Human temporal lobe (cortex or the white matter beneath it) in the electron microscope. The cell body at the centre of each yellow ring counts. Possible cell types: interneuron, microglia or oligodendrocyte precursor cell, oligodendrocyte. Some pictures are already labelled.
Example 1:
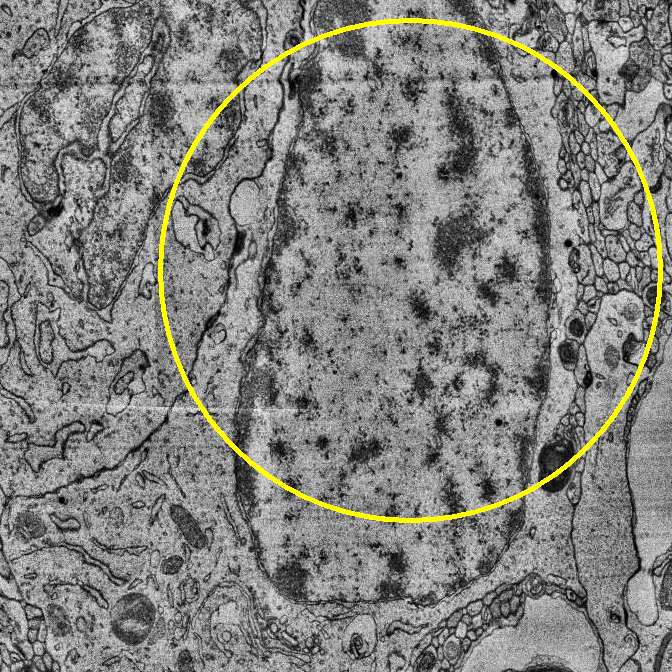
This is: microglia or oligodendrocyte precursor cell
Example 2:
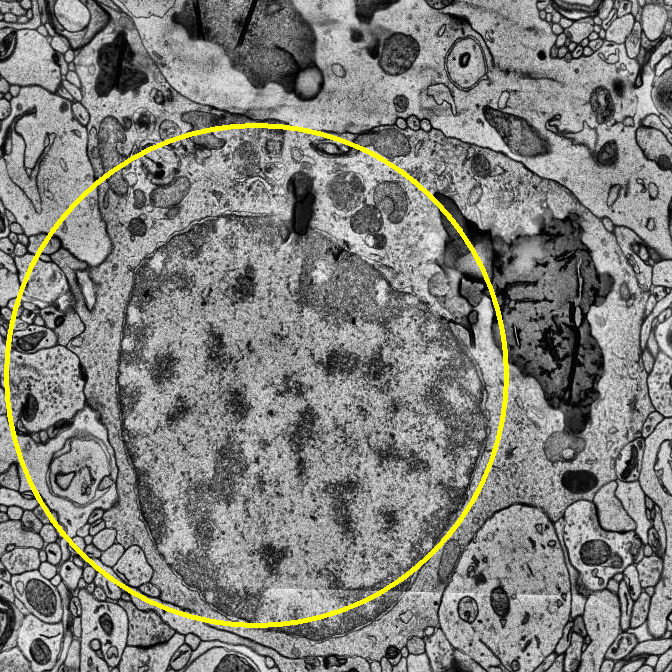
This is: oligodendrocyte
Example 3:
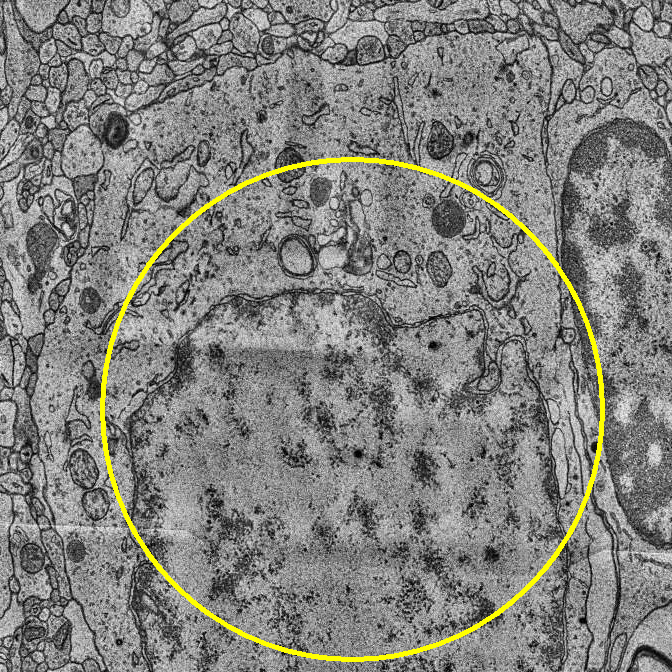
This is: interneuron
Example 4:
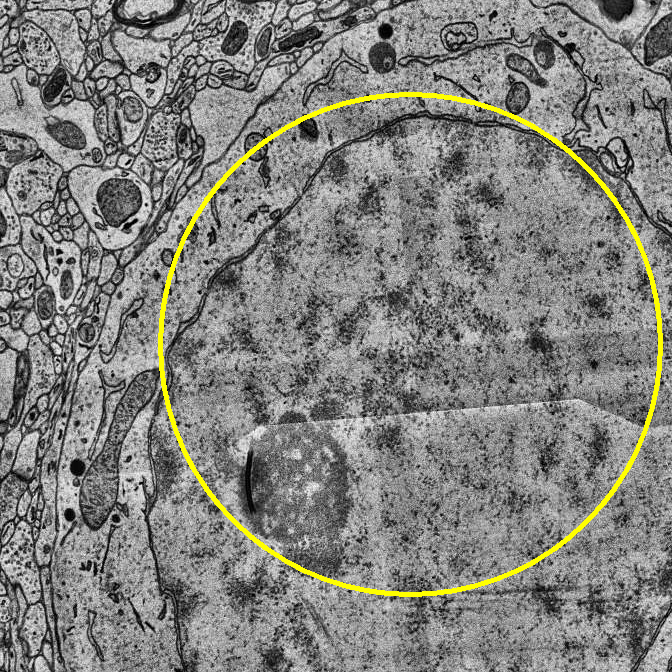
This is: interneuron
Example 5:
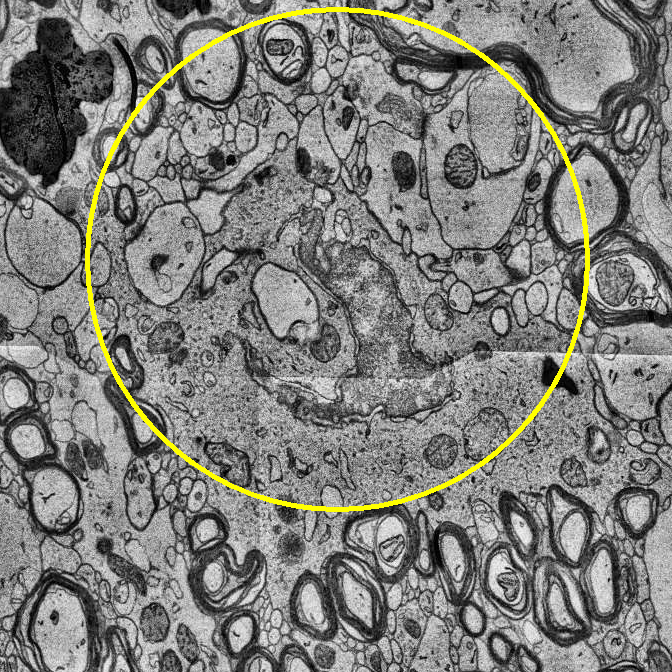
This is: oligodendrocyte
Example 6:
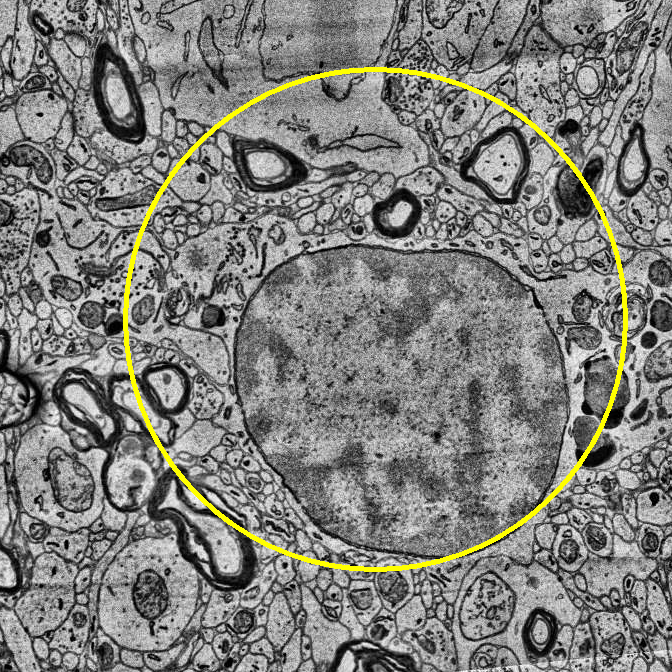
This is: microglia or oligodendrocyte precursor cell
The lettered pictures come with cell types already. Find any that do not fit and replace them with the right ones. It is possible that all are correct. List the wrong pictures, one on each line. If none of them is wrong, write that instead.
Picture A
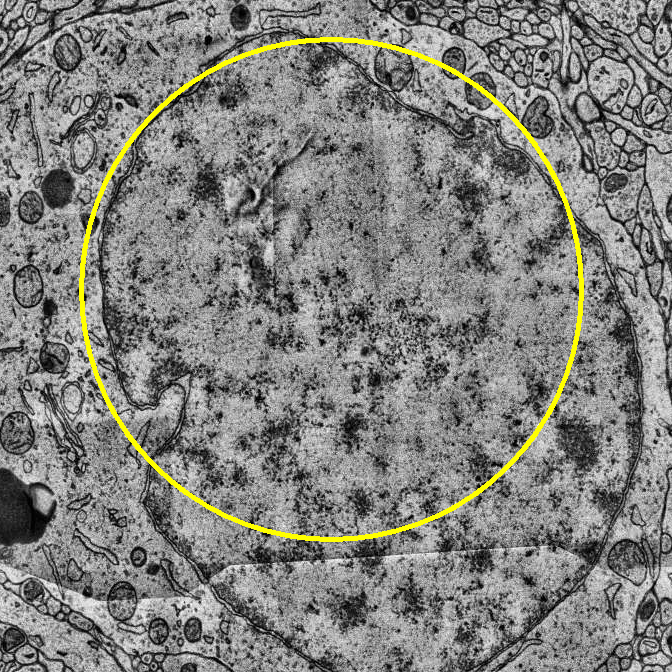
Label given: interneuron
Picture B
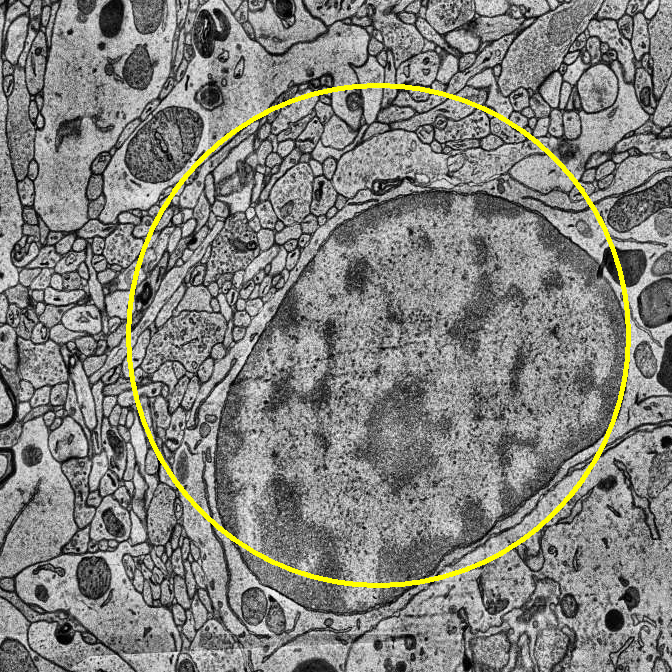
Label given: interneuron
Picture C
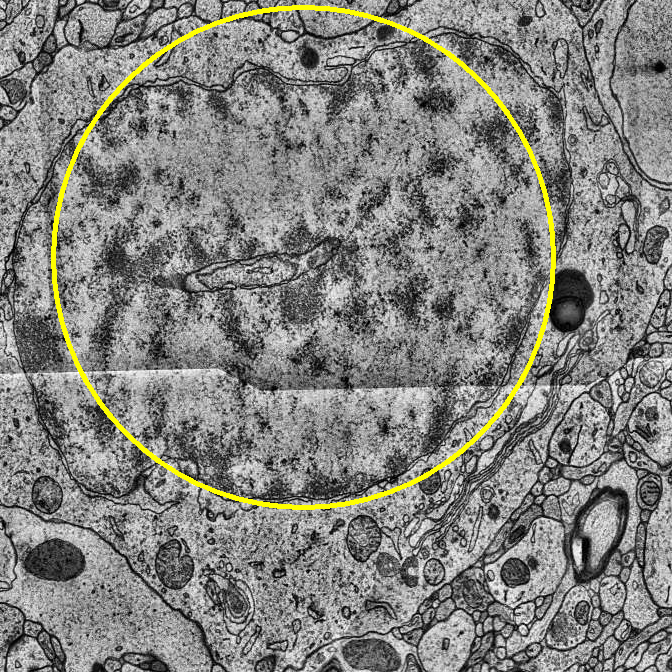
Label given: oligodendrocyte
B: change interneuron to microglia or oligodendrocyte precursor cell
C: change oligodendrocyte to interneuron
